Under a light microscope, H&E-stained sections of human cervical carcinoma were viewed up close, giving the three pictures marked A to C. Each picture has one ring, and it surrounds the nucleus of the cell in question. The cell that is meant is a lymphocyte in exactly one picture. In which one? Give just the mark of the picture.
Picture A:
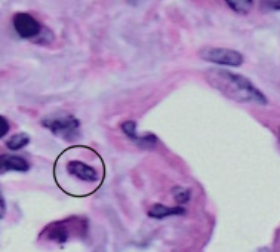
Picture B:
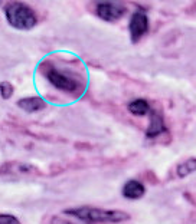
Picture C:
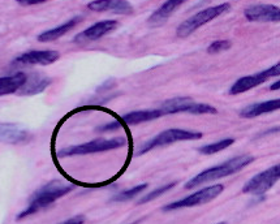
A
